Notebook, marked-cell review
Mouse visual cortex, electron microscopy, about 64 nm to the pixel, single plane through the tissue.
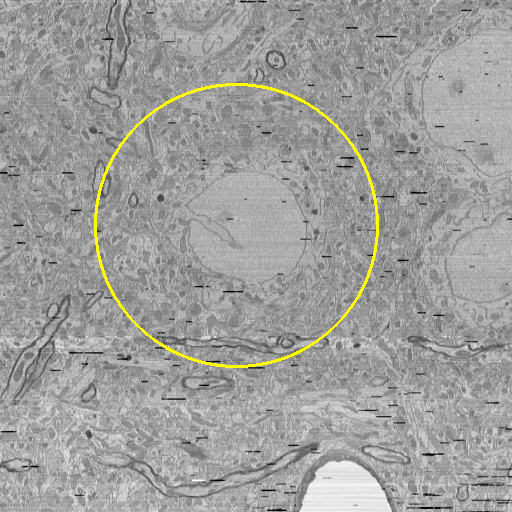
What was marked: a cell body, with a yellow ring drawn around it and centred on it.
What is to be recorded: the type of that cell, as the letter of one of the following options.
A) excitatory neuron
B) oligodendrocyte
A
